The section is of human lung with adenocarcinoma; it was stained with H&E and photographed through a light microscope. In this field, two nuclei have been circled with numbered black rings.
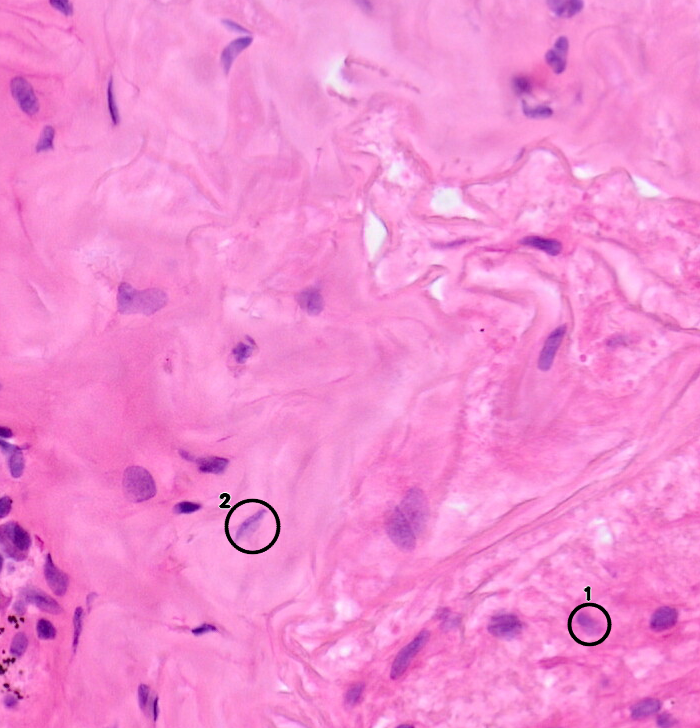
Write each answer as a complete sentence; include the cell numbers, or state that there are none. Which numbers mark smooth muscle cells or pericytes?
Only one of the numbered nuclei, number 1, belongs to a smooth muscle cell or pericyte.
